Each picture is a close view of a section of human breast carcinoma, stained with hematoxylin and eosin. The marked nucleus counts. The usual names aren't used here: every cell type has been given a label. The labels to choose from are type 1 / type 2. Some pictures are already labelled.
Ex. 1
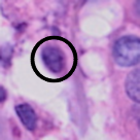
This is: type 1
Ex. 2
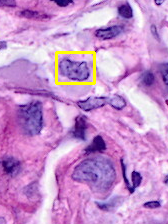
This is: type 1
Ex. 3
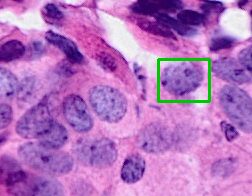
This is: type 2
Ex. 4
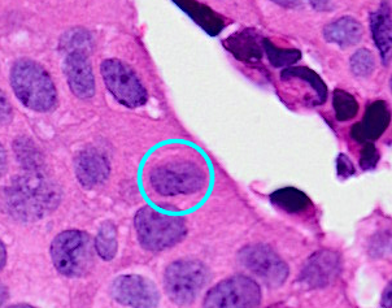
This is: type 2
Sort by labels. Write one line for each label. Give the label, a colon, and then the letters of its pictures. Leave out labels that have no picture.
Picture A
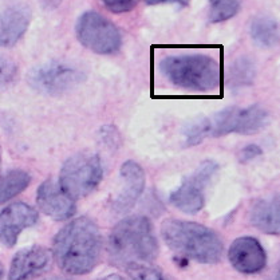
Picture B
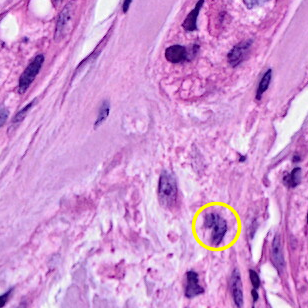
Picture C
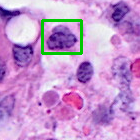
type 1: B, C
type 2: A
